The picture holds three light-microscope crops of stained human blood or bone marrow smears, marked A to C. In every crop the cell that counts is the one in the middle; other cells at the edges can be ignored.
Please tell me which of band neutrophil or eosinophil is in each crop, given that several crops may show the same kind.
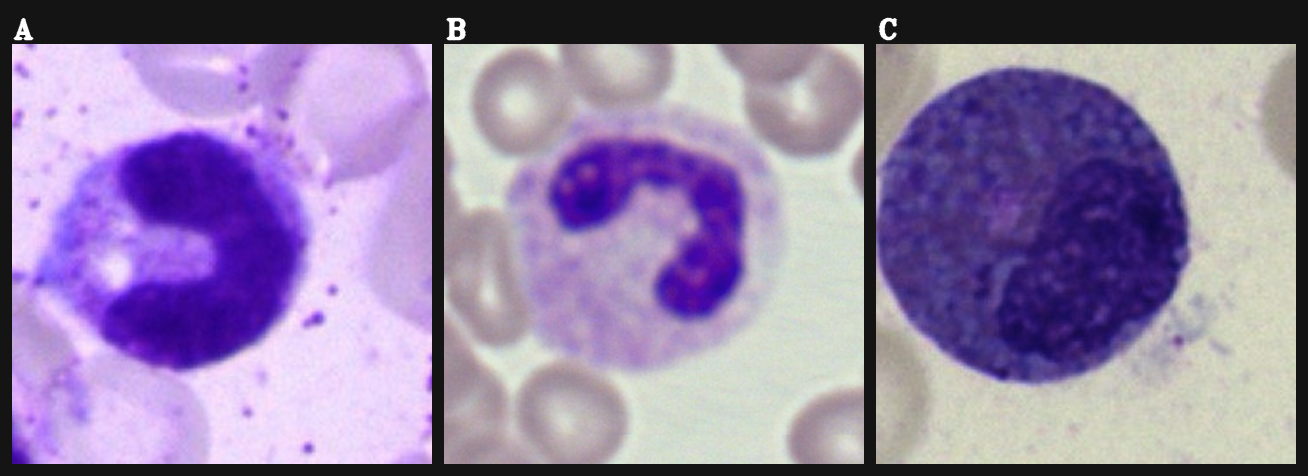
A: band neutrophil
B: band neutrophil
C: eosinophil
